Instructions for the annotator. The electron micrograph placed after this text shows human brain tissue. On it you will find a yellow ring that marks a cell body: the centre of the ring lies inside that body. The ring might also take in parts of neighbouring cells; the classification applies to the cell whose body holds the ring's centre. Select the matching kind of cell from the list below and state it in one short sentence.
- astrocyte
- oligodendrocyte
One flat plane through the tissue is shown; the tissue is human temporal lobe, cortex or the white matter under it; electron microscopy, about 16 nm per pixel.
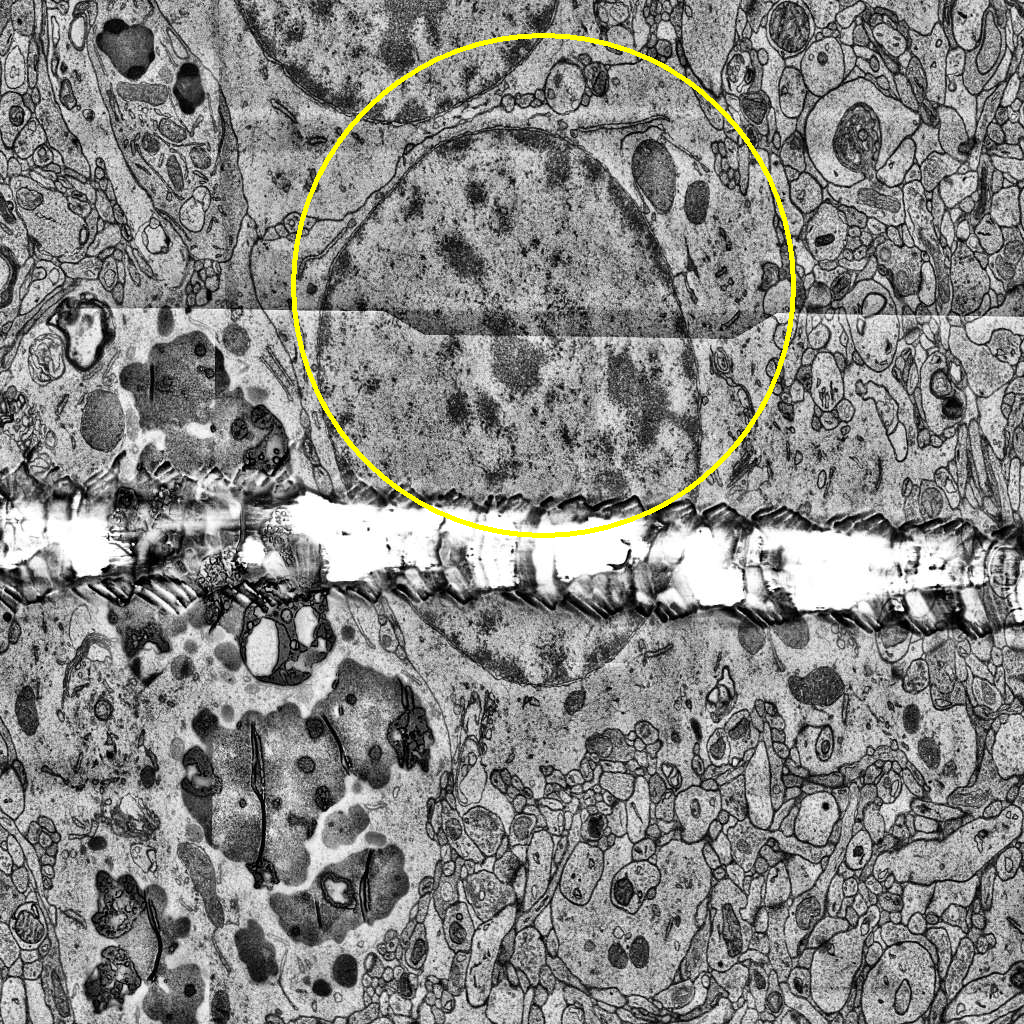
The centre of the ring lies in the cell body of an astrocyte.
